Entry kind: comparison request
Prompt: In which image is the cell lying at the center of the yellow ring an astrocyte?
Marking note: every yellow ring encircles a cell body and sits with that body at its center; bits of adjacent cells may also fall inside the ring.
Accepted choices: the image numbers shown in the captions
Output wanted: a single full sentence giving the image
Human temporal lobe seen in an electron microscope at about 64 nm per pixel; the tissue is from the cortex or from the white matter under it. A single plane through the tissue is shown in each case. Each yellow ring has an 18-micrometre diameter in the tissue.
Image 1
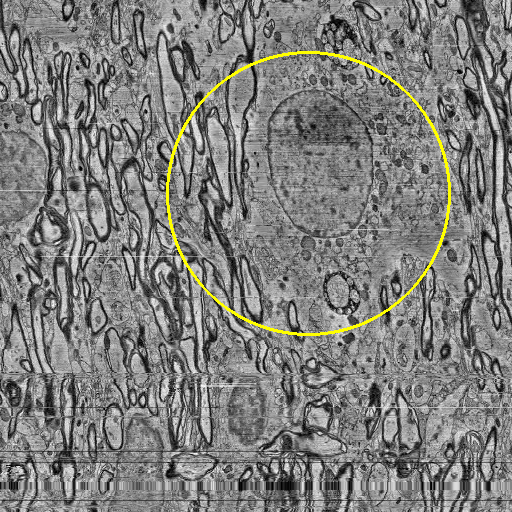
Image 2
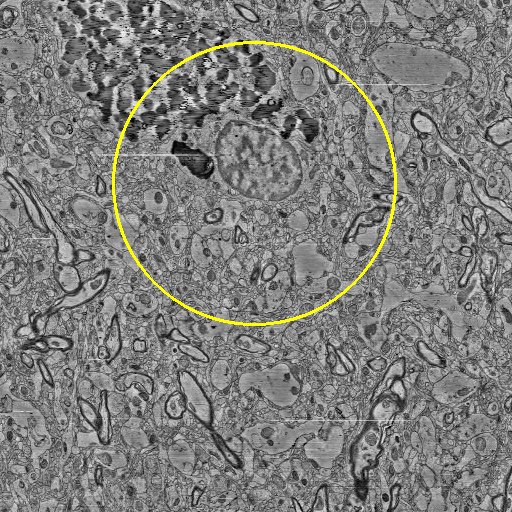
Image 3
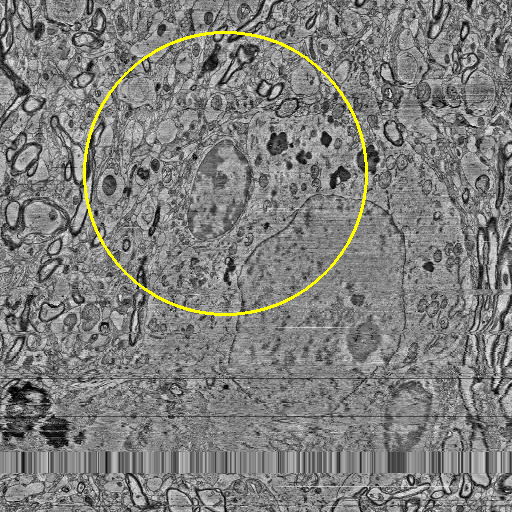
In image 1, the ringed cell at the center matches the prompt.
